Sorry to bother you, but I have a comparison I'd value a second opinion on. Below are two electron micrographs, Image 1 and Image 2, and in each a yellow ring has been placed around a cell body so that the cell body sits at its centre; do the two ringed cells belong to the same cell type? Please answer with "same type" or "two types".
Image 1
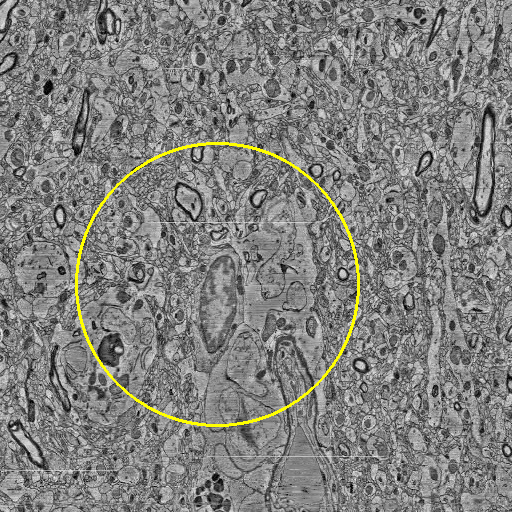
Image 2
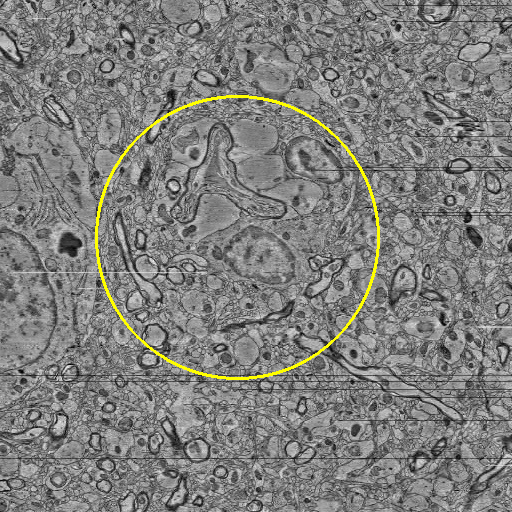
same type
